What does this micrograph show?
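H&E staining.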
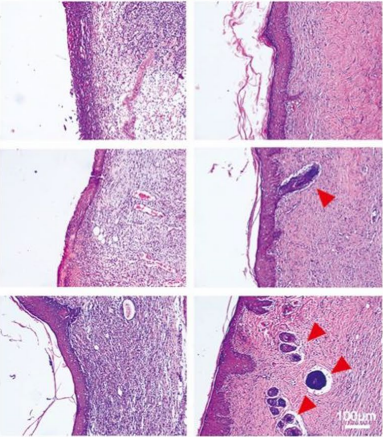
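Along one edge of each image lies a darker purple band of surface epithelium. Beneath it is the dermis, packed with many small purple nuclei in pink connective tissue. This tissue looks looser and more cellular in some images and more even and fibrous in others. In the images that have them, they sit at varying depths below the epithelium.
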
